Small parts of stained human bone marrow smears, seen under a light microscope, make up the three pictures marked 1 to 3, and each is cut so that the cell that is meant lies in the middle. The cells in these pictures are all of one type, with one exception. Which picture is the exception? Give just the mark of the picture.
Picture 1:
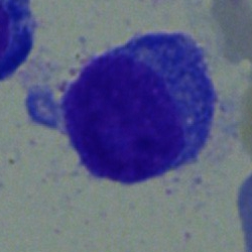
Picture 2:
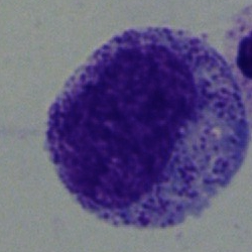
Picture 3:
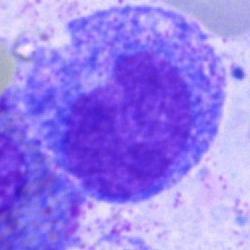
1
